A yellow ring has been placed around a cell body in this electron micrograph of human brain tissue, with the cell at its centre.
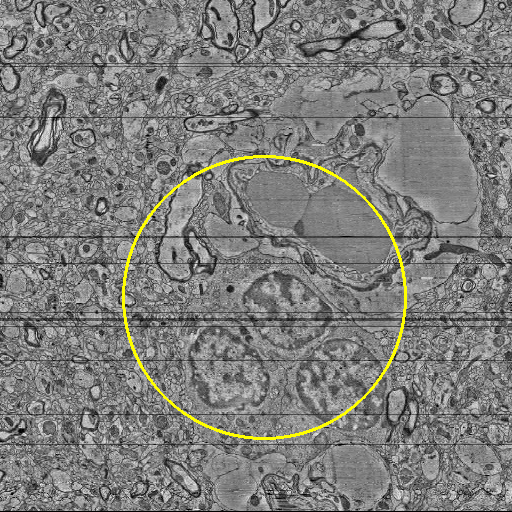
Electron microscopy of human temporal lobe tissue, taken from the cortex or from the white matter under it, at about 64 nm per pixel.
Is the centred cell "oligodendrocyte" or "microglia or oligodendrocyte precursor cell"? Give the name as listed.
oligodendrocyte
